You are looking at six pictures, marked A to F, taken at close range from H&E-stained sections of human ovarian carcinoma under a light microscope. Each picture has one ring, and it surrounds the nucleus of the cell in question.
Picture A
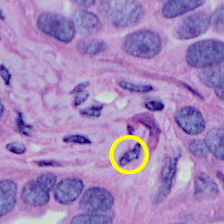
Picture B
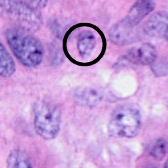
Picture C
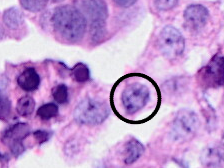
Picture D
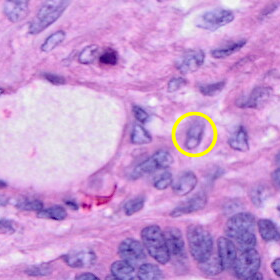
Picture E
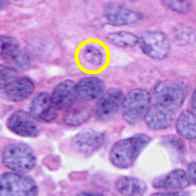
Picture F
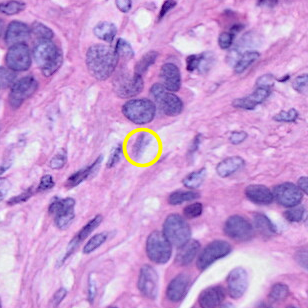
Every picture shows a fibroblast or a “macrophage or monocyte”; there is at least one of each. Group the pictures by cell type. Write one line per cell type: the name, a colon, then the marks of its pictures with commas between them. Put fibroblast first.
fibroblast: A, D, F
macrophage or monocyte: B, C, E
